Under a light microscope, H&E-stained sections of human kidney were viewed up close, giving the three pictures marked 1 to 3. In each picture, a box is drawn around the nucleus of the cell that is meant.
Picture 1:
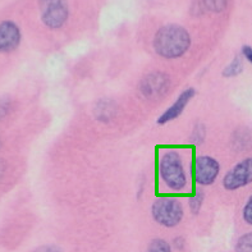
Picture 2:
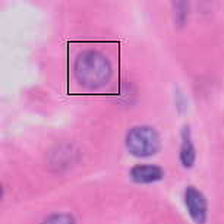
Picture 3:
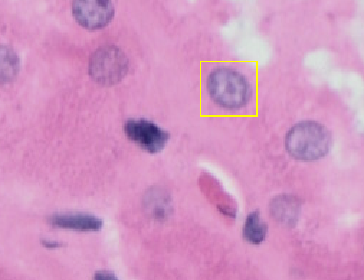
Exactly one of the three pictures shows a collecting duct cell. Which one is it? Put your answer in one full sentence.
It is picture 1 that shows the collecting duct cell.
